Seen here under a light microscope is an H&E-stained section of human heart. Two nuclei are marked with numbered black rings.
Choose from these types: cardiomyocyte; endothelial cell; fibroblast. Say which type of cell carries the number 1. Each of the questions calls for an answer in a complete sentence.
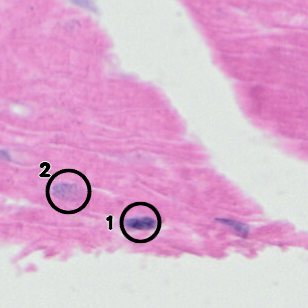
Cell 1 of the marked set is an endothelial cell.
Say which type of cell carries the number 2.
The nucleus marked 2 is the nucleus of a cardiomyocyte.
